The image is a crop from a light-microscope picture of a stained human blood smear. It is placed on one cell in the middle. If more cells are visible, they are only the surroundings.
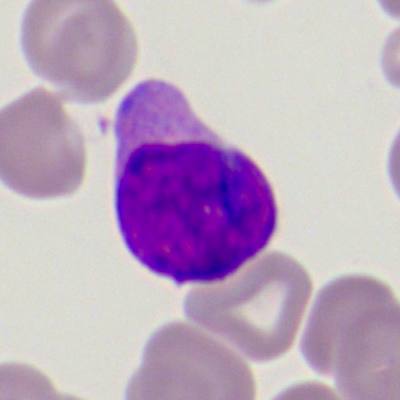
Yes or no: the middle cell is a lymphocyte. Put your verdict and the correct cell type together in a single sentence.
No, the cell at the centre is a blast, which rules out a lymphocyte.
